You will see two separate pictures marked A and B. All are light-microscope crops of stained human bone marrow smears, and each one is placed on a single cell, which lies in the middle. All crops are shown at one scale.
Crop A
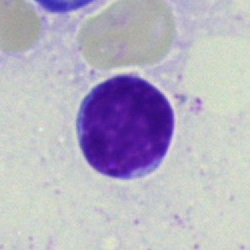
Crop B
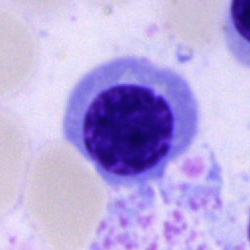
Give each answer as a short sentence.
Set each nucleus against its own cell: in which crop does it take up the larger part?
The nucleus fills more of the cell in crop A than in crop B.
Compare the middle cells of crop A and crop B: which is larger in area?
Larger is the cell in crop B, at roughly 1.5 times the area of the other.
